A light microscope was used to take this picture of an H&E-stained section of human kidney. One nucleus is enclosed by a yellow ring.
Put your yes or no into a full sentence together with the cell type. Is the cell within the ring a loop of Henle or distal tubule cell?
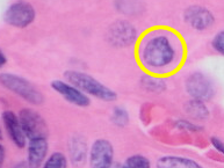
Yes, it is a loop of Henle or distal tubule cell that the cell within the ring is.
